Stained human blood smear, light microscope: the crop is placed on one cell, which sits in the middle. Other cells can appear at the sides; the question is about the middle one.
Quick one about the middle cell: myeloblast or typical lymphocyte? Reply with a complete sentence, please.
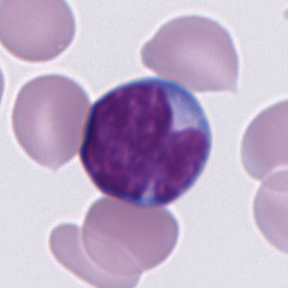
The cell around which this crop is centred is a typical lymphocyte.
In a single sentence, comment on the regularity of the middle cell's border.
The cell shows a smooth outline that lacks any surface projections.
